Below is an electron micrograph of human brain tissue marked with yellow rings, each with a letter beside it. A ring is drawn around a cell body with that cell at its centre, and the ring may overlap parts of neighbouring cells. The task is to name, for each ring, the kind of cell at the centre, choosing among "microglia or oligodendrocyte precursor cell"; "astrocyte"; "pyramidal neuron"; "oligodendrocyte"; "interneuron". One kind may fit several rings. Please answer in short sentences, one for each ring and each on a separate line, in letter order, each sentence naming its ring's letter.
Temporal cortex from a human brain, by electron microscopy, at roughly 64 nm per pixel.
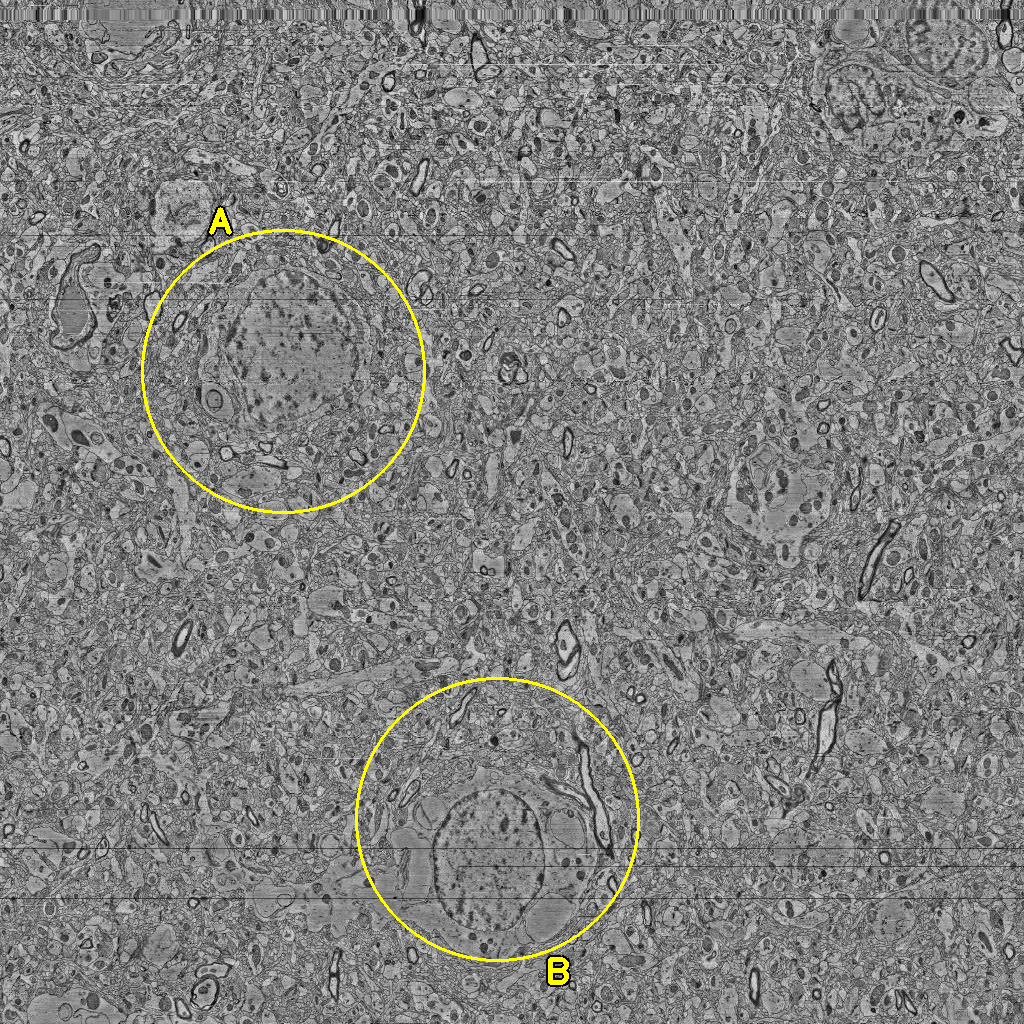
The ring with letter A is centred on an interneuron.
The ring with letter B is centred on an astrocyte.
